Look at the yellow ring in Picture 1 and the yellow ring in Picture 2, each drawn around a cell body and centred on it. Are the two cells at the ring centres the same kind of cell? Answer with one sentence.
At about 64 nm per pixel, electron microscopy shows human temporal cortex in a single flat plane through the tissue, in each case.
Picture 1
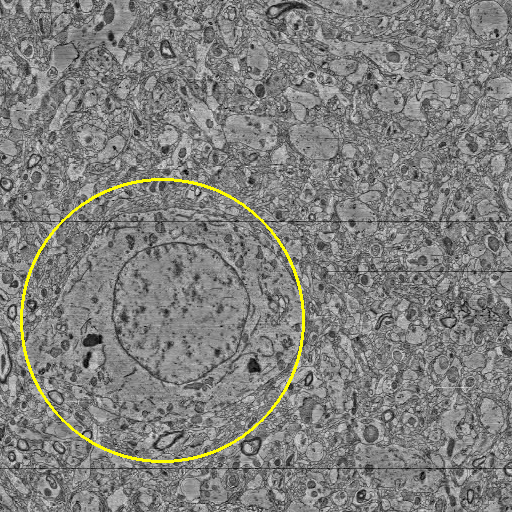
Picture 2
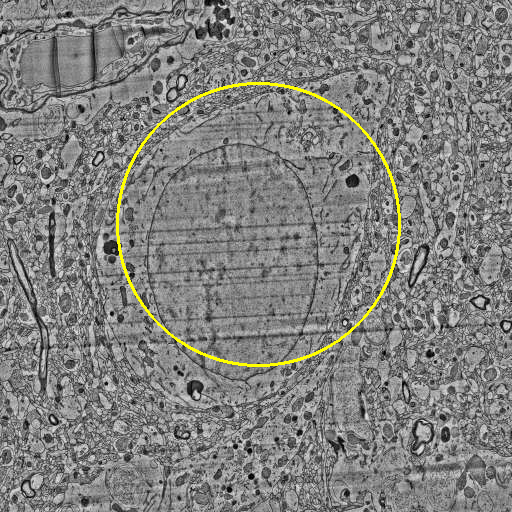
Yes, both are the same kind of cell.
